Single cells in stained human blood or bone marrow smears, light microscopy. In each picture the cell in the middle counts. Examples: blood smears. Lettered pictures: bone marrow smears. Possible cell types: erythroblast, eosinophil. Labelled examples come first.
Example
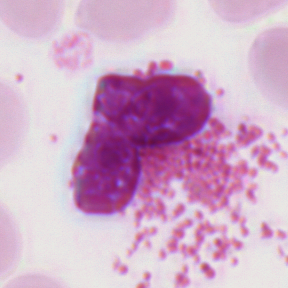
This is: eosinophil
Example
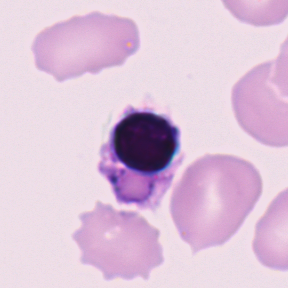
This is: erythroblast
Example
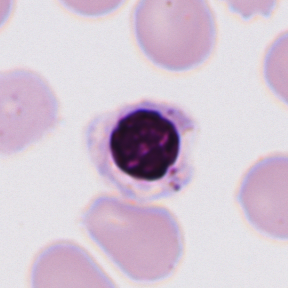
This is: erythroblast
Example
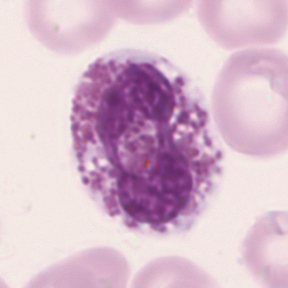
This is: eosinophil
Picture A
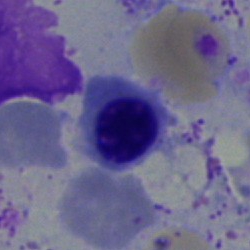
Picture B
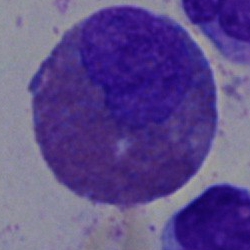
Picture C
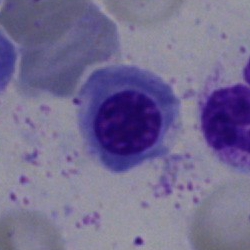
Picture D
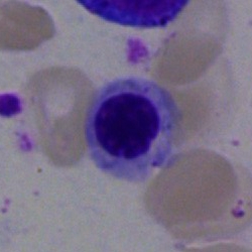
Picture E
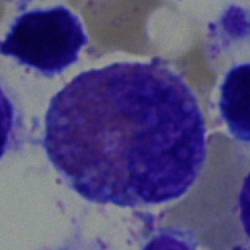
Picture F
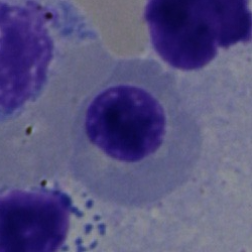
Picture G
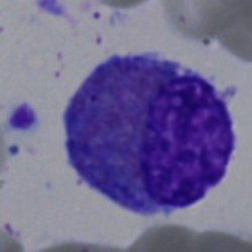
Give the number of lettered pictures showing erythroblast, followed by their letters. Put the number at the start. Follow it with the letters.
Count: 4 (A, C, D, F)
